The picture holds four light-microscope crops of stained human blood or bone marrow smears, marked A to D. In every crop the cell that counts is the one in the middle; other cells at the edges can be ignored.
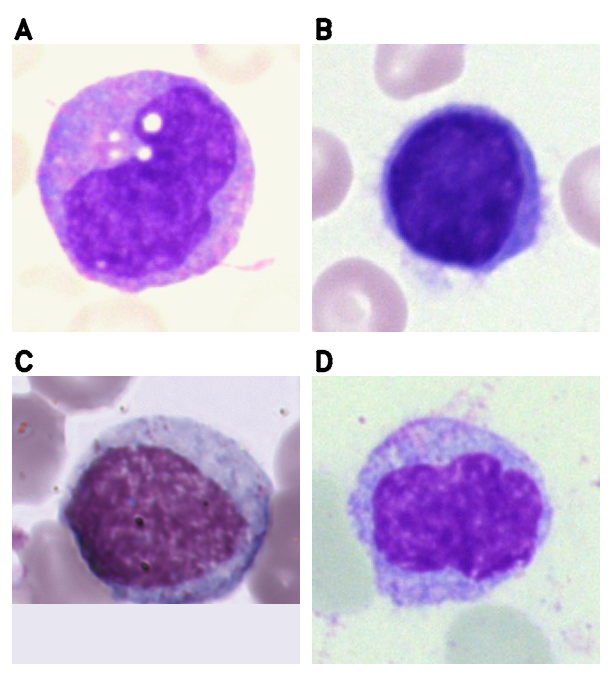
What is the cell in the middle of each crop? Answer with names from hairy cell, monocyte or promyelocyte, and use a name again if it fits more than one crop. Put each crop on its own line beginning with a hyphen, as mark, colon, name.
- A: monocyte
- B: hairy cell
- C: promyelocyte
- D: monocyte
